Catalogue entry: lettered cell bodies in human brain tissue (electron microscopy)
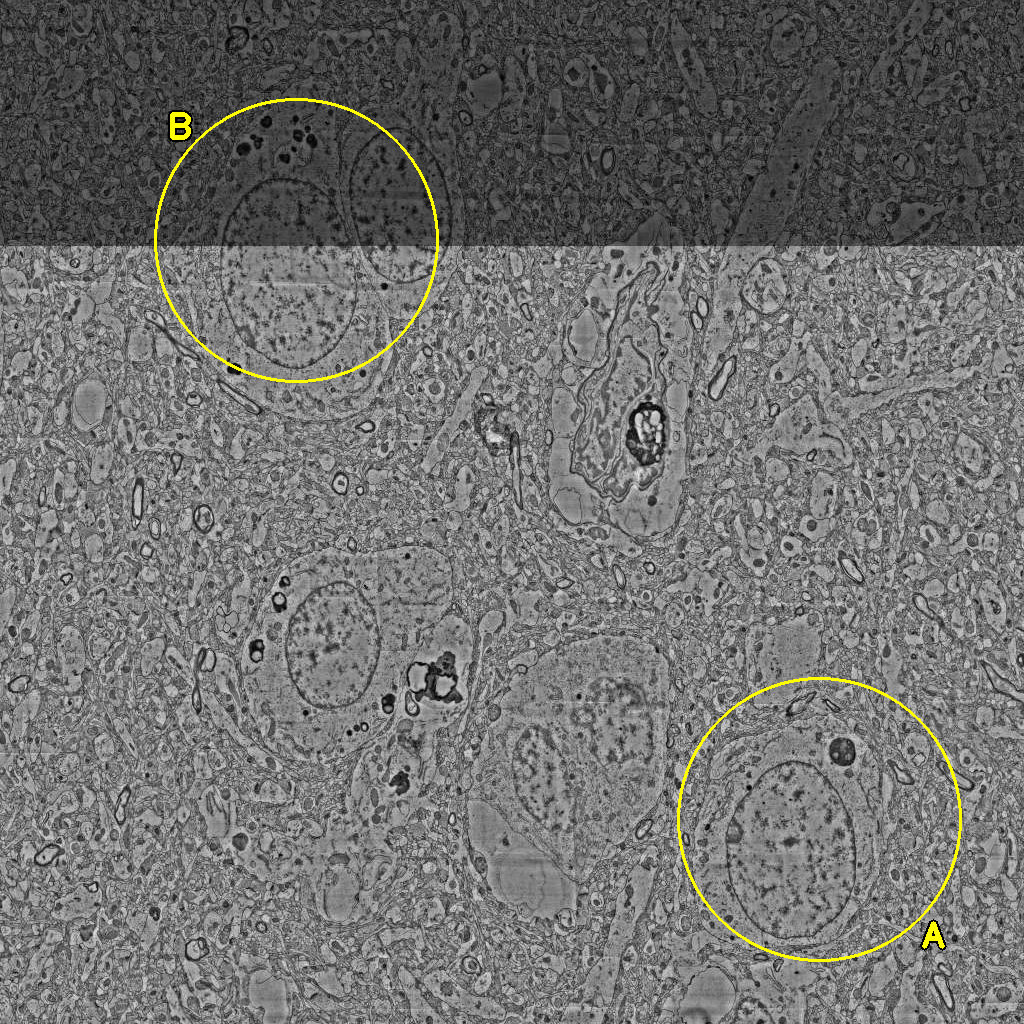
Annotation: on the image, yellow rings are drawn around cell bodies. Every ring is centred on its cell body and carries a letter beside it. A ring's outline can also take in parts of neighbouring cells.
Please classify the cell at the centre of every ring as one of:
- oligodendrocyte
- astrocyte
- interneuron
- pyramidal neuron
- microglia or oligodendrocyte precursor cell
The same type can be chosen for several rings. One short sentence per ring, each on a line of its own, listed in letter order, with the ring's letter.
Ring A is classified as a pyramidal neuron.
Ring B is classified as a pyramidal neuron.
